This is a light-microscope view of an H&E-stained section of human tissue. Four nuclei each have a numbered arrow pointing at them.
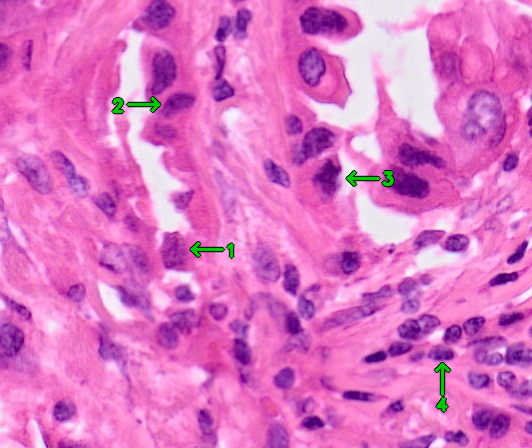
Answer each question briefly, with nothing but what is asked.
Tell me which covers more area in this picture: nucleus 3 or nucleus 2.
3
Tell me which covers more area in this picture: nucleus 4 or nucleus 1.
1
